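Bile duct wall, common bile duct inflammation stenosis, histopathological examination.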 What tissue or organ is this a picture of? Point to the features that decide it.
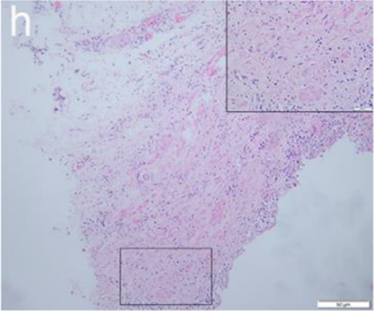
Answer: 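Most of the section is pale pink, wavy fibrous material. Small dark purple nuclei lie scattered among the pink fibres.
Hence: proliferative fibrous connective tissue.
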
